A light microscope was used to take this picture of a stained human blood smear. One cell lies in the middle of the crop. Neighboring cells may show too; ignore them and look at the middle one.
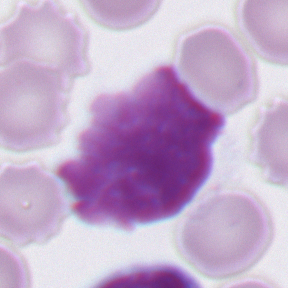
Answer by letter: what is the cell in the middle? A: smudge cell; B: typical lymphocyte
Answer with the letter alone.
A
